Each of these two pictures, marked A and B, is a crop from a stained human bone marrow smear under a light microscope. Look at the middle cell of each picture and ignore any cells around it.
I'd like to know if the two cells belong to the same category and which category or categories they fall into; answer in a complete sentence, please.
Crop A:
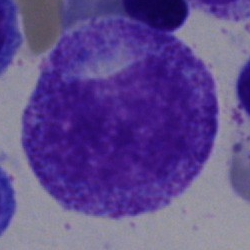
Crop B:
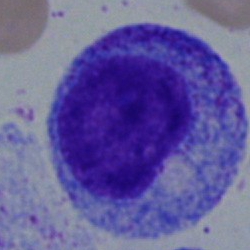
Yes, in both crops the centred cells are promyelocytes.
